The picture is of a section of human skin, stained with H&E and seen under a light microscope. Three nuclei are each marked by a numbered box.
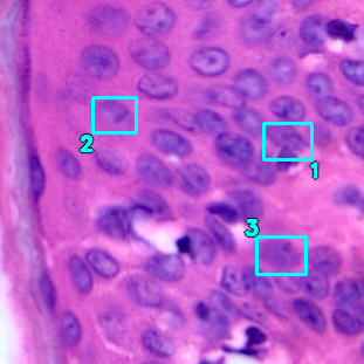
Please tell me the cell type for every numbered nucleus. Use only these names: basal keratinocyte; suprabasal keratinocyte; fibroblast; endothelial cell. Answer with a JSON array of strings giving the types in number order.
["basal keratinocyte", "suprabasal keratinocyte", "basal keratinocyte"]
